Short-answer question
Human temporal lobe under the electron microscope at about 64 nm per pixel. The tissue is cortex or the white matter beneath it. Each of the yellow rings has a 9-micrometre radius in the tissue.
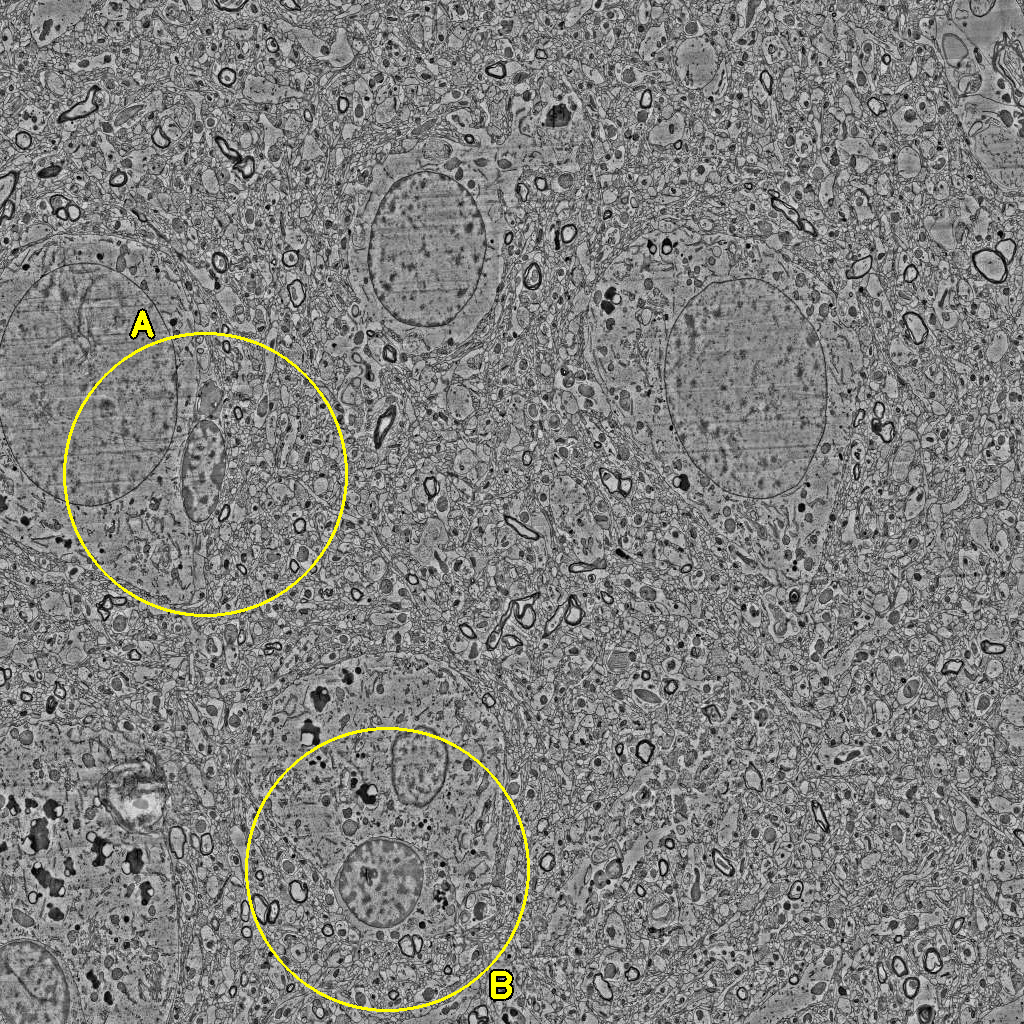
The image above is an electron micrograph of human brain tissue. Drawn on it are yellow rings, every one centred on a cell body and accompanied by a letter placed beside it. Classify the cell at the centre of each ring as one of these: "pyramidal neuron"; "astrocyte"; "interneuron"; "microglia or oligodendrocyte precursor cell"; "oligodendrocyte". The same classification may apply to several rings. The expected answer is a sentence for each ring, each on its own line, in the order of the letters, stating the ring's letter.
The cell at ring A is classified as a microglial cell or oligodendrocyte precursor cell.
The cell at ring B is classified as an oligodendrocyte.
